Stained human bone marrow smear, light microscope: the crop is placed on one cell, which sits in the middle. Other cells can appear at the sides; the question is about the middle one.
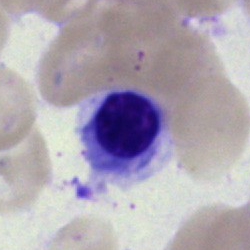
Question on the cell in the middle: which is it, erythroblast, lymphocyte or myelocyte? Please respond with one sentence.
Standing at the centre of this crop is an erythroblast.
